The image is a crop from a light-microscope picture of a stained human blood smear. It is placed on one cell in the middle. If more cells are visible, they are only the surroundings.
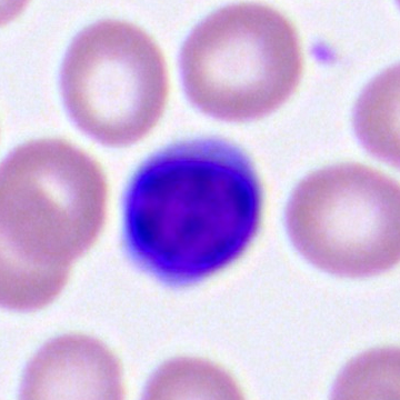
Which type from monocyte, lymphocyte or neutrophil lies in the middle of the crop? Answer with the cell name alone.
lymphocyte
